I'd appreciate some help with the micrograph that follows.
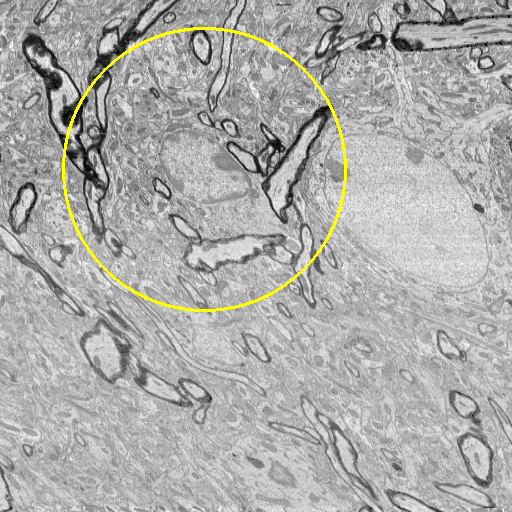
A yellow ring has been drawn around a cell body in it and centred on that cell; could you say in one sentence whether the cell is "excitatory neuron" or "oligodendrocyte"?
It is an oligodendrocyte at the centre of the ring.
